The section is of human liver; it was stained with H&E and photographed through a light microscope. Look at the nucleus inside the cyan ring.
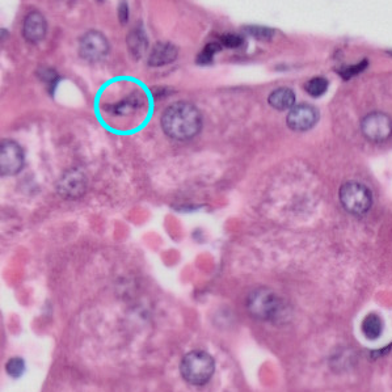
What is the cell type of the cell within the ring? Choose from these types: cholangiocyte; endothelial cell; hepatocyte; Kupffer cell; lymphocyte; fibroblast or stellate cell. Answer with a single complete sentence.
This is a fibroblast or stellate cell.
